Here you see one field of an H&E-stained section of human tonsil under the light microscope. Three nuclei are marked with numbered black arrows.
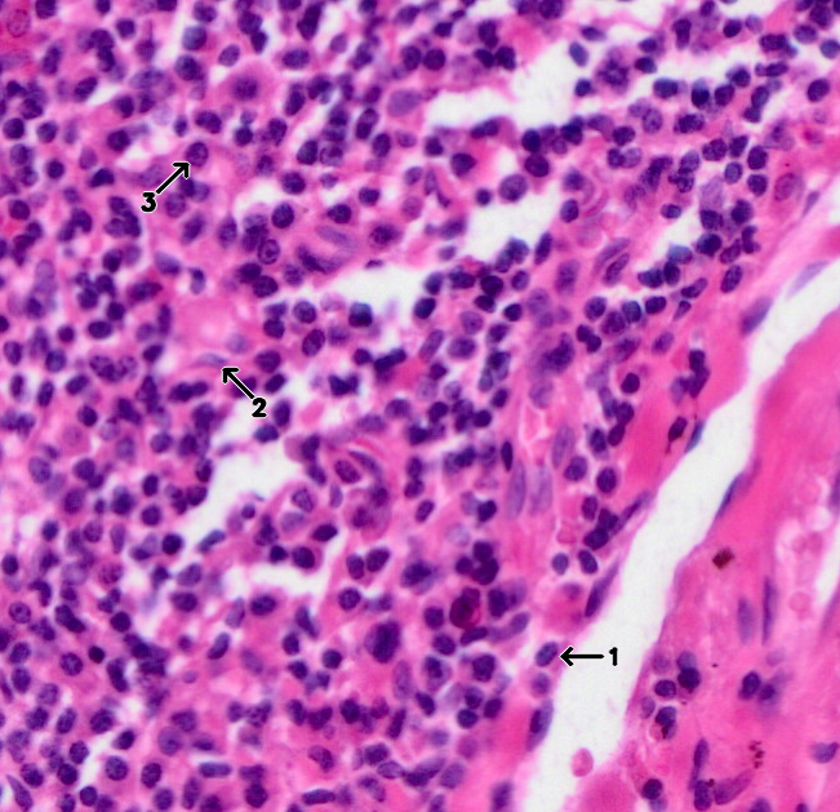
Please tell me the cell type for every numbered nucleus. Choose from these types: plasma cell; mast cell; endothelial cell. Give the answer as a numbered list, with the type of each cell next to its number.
1. mast cell
2. endothelial cell
3. plasma cell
